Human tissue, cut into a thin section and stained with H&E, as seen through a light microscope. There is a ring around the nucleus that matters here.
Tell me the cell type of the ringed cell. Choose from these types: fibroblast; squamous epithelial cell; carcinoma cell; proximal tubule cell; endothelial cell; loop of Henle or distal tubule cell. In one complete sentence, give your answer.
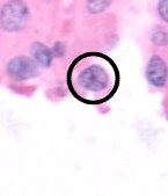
It is a loop of Henle or distal tubule cell that the ringed cell represents.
